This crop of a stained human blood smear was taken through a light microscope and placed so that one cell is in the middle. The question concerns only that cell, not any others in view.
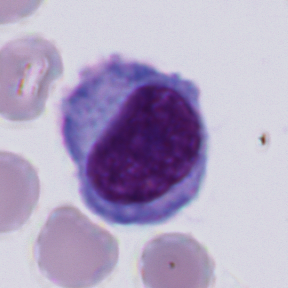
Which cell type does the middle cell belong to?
plasma cell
